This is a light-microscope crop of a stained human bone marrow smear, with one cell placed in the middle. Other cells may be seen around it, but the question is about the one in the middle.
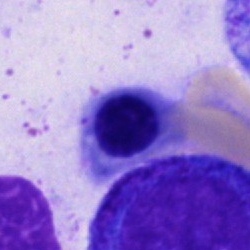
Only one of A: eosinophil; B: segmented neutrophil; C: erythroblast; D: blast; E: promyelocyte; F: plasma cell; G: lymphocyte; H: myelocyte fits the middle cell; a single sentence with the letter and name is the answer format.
Option C is to be chosen, as the central cell is an erythroblast.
